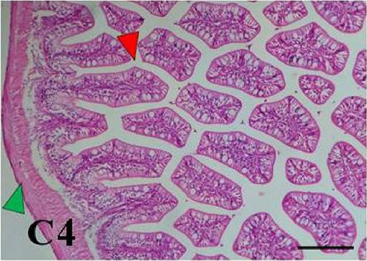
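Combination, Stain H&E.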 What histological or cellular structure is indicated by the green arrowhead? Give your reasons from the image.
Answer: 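The arrowhead marks the pink band at the outer edge of the section. The band lies outside the bases of the mucosal folds.
Wall.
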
